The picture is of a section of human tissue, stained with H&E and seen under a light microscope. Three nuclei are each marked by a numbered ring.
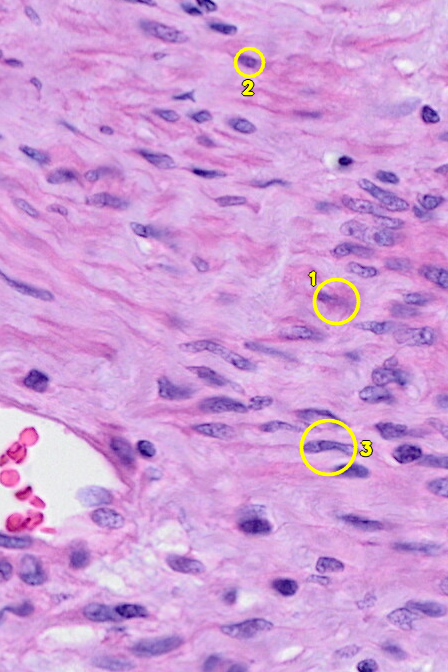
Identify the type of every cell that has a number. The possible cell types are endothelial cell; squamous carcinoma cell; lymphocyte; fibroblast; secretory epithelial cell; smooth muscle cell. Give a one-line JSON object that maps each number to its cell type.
{"1": "smooth muscle cell", "2": "smooth muscle cell", "3": "fibroblast"}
